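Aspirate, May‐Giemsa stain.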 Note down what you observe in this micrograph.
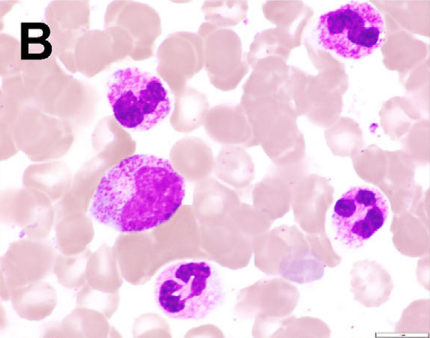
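This bone marrow smear shows mature neutrophils lying among pale pink red cells. One larger cell near the lower left has a bigger, less segmented nucleus and more abundant granular cytoplasm, suggesting a less mature granulocyte. The cells lie scattered singly rather than in clumps, and the red cells around them are crowded and overlapping.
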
